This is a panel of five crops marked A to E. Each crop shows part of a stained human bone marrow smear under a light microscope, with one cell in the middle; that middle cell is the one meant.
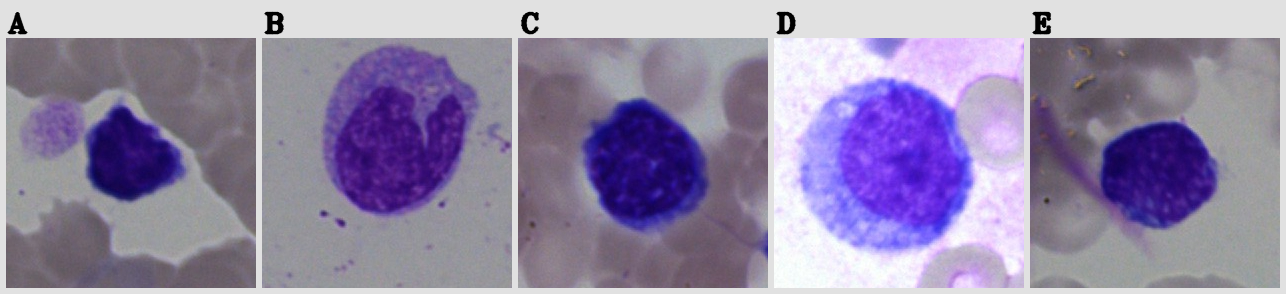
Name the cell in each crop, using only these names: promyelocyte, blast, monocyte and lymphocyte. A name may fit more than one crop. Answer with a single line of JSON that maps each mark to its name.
{"A": "lymphocyte", "B": "monocyte", "C": "lymphocyte", "D": "promyelocyte", "E": "lymphocyte"}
